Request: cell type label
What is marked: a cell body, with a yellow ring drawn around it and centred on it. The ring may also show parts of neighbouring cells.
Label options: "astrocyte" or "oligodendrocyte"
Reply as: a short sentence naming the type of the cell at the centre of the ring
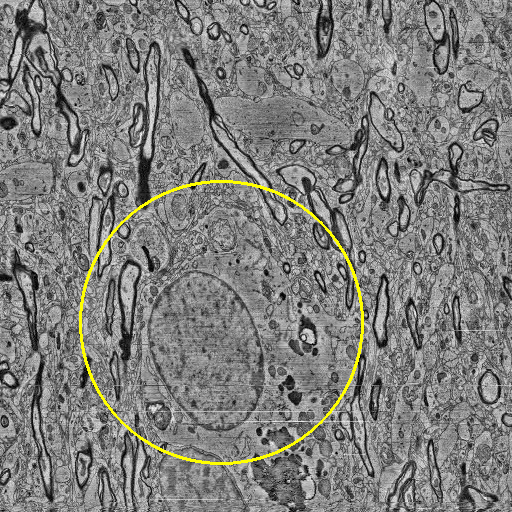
The marked cell body is that of an astrocyte.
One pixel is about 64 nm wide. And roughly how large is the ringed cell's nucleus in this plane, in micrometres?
The nucleus has a long axis of about 10 micrometres and a short axis of about 7 micrometres in this plane.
